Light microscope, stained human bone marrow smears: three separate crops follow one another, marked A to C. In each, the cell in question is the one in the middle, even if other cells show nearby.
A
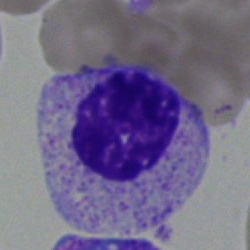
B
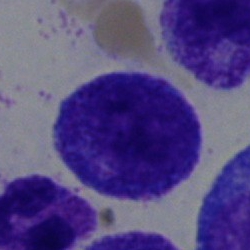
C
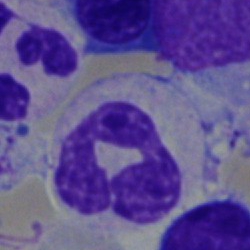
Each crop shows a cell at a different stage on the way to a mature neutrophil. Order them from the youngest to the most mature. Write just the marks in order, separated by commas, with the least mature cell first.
B, A, C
